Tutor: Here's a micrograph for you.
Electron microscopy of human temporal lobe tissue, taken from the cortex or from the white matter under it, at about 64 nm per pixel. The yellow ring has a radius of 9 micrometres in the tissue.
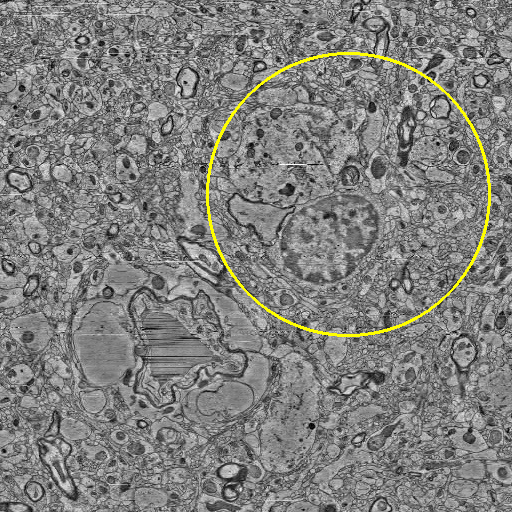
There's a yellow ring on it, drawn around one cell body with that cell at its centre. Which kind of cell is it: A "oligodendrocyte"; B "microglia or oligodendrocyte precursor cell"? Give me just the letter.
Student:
A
